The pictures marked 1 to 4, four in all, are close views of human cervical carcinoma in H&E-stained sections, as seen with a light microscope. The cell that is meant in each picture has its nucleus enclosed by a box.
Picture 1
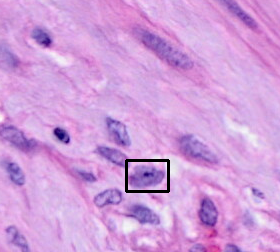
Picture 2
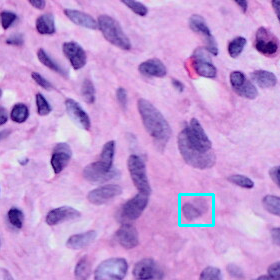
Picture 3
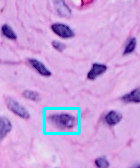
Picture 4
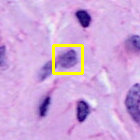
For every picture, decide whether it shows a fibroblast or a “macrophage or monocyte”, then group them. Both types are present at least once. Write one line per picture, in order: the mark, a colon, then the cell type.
1: macrophage or monocyte
2: fibroblast
3: fibroblast
4: fibroblast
